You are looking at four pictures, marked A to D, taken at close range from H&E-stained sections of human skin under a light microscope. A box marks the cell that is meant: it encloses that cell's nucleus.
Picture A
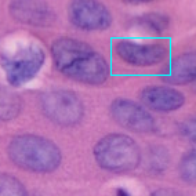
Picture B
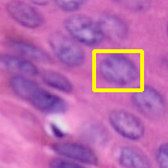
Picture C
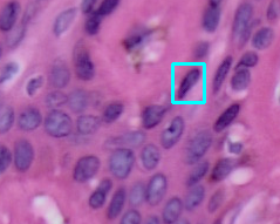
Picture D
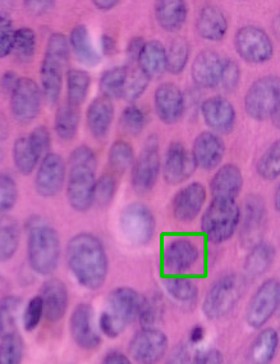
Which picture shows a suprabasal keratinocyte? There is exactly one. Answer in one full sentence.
The picture with the suprabasal keratinocyte is B.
